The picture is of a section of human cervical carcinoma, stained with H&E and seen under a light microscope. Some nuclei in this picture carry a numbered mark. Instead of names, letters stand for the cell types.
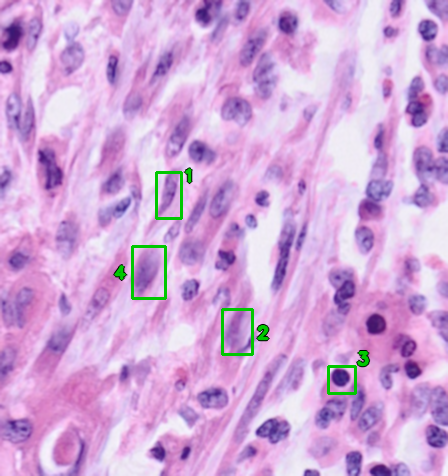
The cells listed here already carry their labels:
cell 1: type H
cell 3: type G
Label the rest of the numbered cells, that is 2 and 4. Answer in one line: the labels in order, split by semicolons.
type H; type H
